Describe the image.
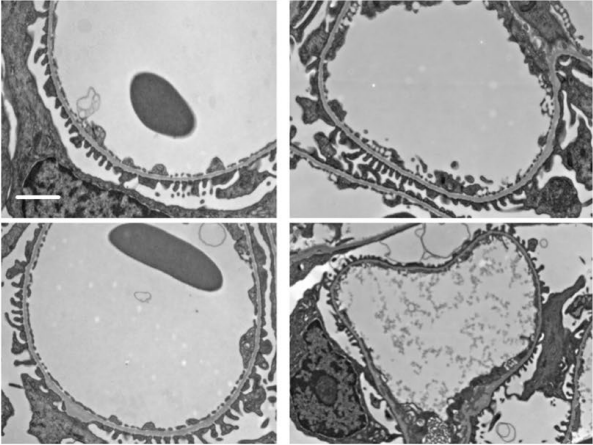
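Glomerular capillary loops are seen by electron microscopy, each a large pale capillary lumen outlined by a thin, even basement membrane. Two lumens hold a single dense oval red blood cell. A thin endothelial lining faces the lumen, and on the outer side the membrane is covered by podocyte foot processes, which in most images form a row of small, evenly spaced knobs separated by narrow gaps. Darker cell bodies with processes lie between the loops.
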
